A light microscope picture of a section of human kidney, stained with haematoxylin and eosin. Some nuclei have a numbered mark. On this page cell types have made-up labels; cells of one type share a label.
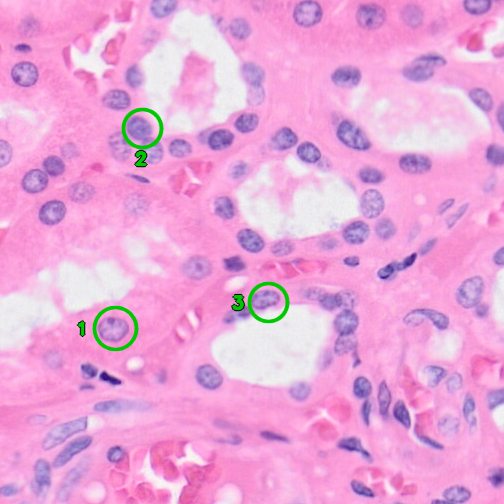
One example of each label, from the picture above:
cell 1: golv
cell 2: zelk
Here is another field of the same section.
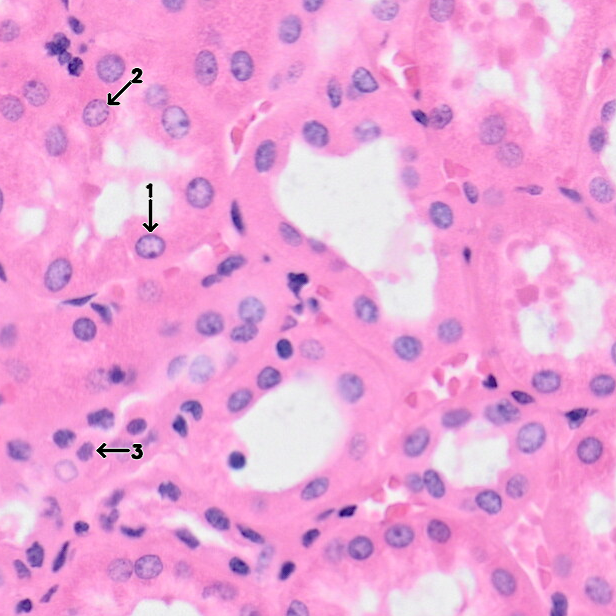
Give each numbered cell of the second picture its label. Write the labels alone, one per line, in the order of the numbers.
golv
golv
zelk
